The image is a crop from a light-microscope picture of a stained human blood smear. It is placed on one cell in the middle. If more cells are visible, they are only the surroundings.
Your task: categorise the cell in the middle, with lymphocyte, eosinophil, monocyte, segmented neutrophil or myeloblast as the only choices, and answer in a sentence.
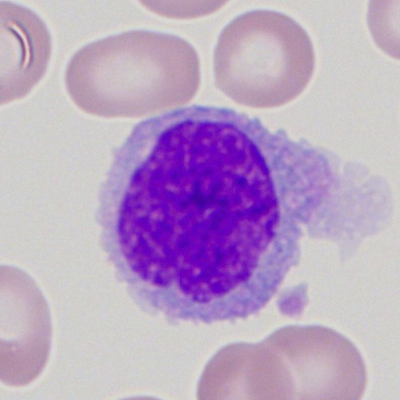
The cell sitting right in the middle is a monocyte.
